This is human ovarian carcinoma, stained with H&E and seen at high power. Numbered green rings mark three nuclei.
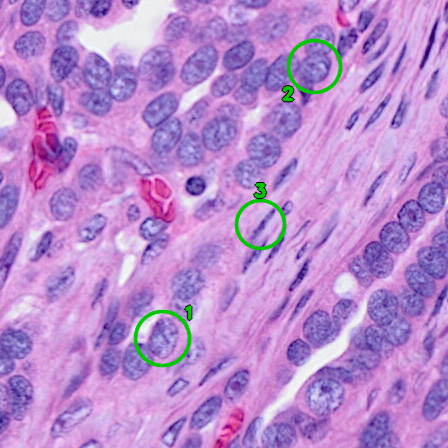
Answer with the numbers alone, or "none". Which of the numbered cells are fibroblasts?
3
